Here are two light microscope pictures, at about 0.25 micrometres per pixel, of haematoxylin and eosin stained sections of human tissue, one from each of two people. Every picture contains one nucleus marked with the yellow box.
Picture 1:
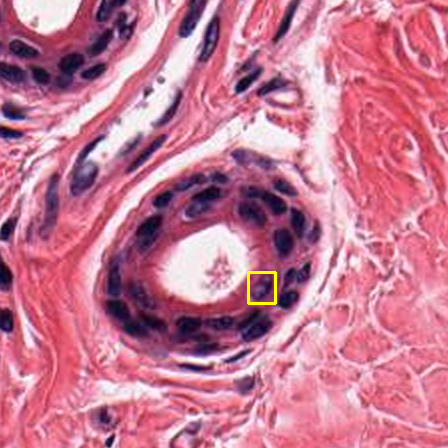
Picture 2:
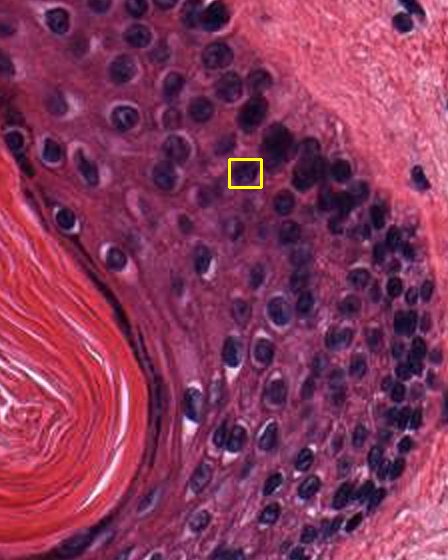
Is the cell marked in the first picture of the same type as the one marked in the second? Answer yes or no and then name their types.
No, the first is a sweat gland cell and the second a keratinocyte.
